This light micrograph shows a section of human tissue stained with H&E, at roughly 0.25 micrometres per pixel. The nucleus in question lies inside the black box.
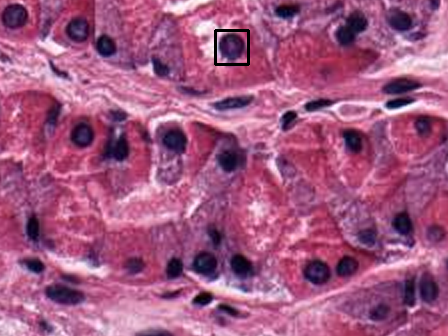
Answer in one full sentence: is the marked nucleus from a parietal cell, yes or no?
Yes, the marked nucleus is a part of a parietal cell.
